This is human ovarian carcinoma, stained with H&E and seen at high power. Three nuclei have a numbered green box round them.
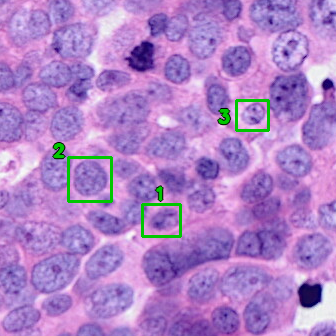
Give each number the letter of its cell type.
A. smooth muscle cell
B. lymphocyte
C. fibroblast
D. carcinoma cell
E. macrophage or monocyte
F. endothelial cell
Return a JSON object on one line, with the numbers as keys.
{"1": "E", "2": "D", "3": "E"}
